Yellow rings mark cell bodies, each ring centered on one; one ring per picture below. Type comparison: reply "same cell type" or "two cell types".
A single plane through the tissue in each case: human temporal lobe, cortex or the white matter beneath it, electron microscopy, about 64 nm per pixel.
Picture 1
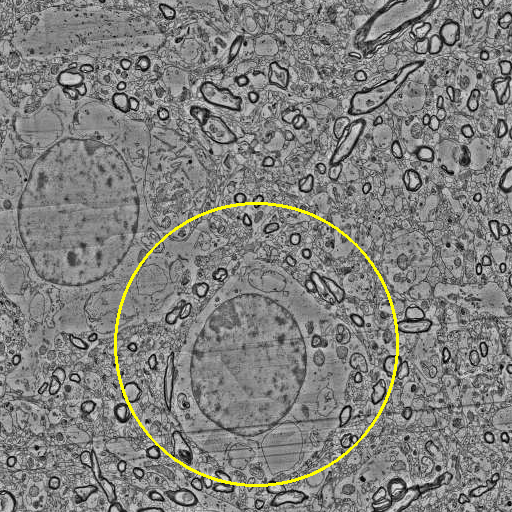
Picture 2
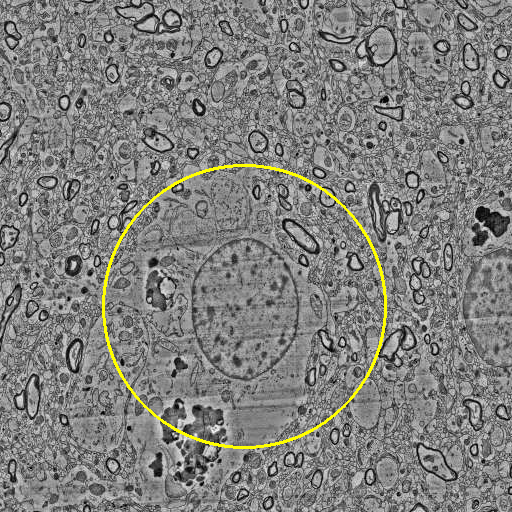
same cell type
